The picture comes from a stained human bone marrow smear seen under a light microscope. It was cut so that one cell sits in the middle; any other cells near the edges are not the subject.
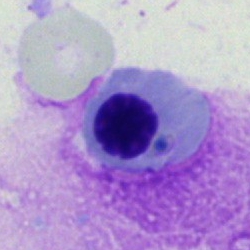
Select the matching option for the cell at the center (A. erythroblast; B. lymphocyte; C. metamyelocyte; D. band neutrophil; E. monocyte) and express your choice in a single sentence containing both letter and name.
The cell shown centrally is an erythroblast; option A is the correct option.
